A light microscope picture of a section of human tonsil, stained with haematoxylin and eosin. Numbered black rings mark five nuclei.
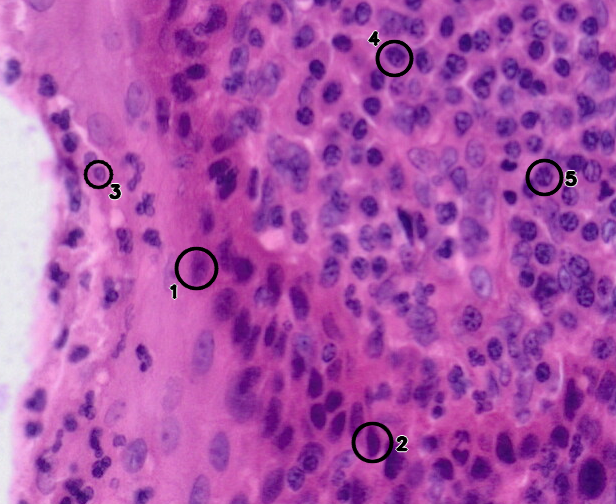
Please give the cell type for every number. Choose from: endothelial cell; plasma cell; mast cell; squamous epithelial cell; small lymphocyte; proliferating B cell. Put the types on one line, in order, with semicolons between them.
squamous epithelial cell; squamous epithelial cell; squamous epithelial cell; plasma cell; plasma cell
